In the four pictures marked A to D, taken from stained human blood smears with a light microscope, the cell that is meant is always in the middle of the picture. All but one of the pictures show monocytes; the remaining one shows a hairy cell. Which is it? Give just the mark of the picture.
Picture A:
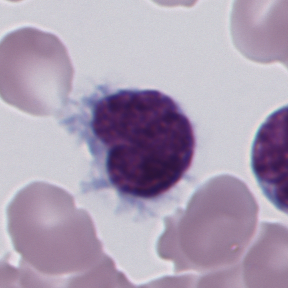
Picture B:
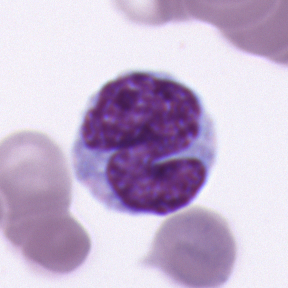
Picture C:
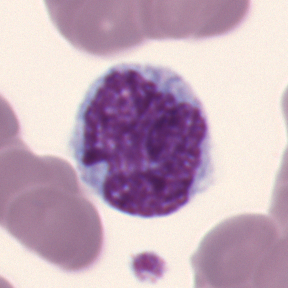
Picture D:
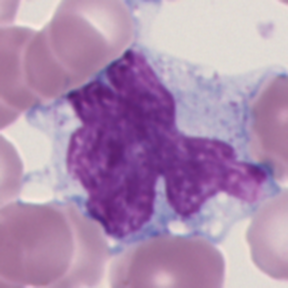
A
